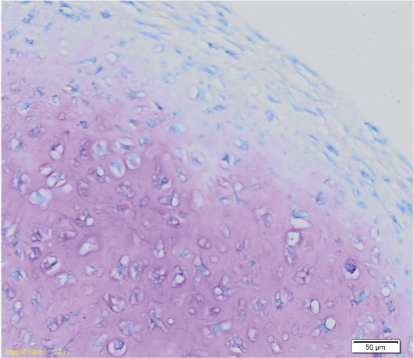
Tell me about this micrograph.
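This is a cartilage-like pellet in which the extracellular matrix around rounded chondrocytic cells stains strongly purple. The cells lie in pale lacunae spread through the matrix, while the outer rim, made of flatter cells, stains blue rather than purple.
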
